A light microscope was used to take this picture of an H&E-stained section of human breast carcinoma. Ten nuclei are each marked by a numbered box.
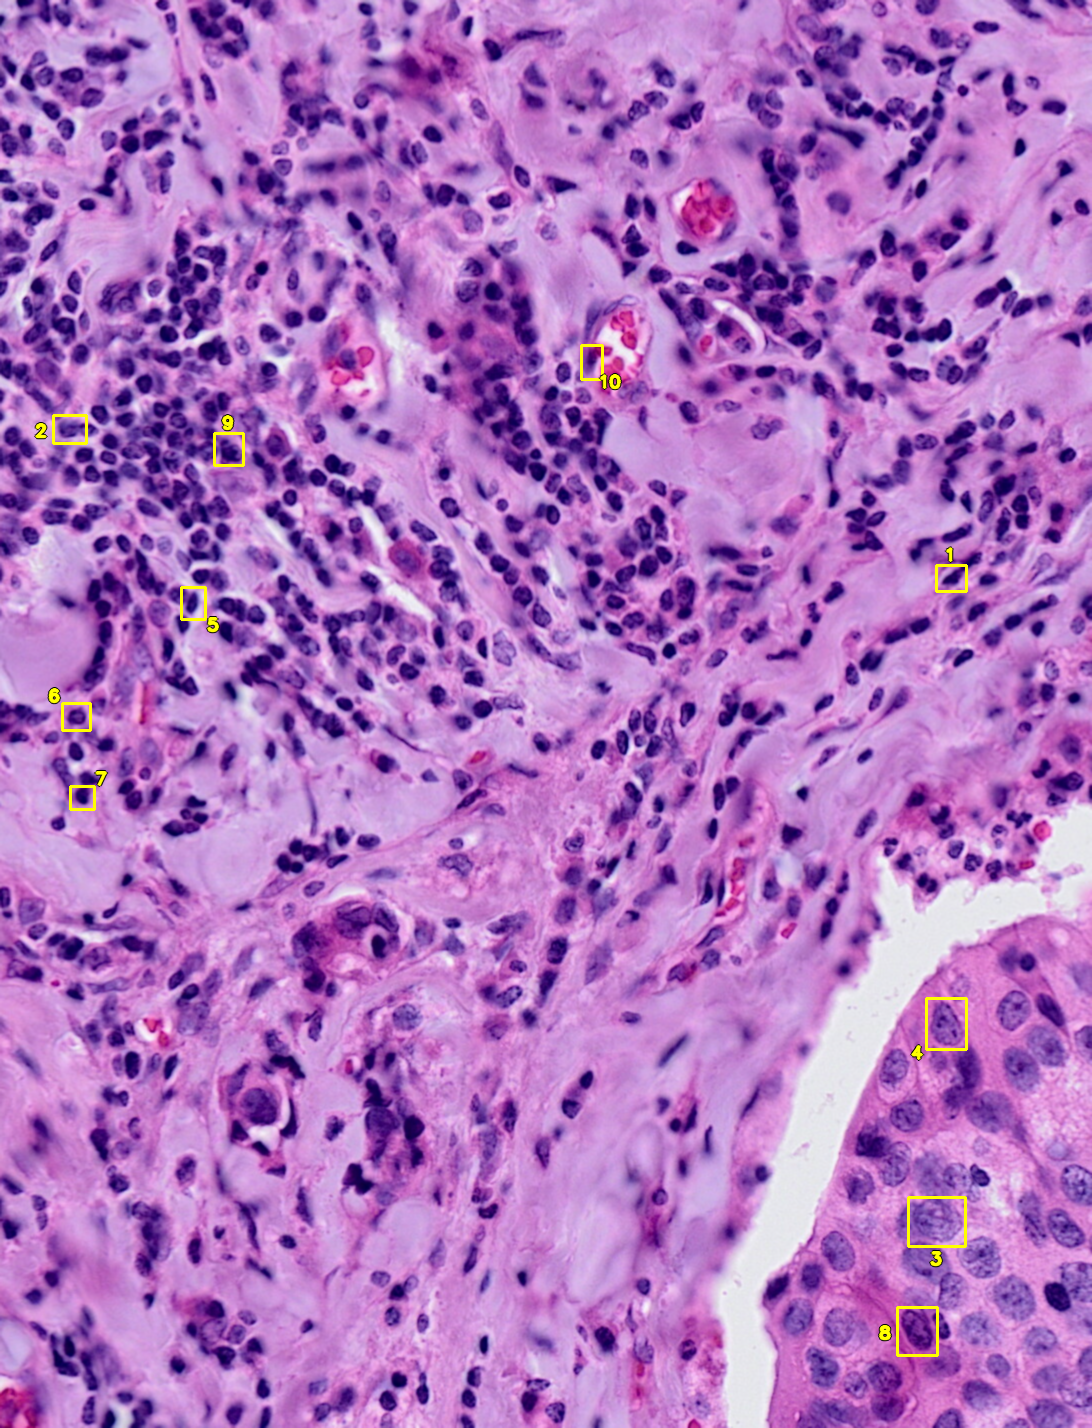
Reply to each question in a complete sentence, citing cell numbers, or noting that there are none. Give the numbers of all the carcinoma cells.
The cells 3, 4 and 8 in this section are carcinoma cells.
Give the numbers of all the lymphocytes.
The cells that have numbers 1, 2, 5, 6, 7 and 9 are lymphocytes.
